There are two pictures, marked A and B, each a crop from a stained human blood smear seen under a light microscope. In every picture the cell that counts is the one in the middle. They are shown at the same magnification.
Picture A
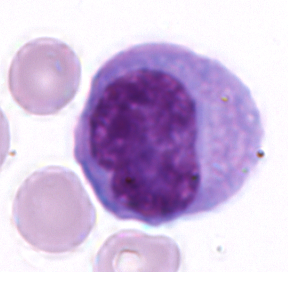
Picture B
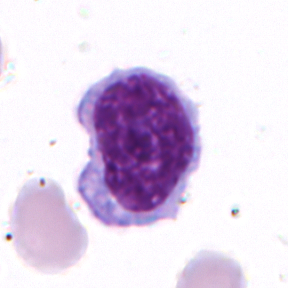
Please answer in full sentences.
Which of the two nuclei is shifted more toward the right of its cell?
In picture B the nucleus is shifted more toward the right.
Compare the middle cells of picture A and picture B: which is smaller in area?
Smaller is the cell in picture B, and the other is about 1.5 times as large in area.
